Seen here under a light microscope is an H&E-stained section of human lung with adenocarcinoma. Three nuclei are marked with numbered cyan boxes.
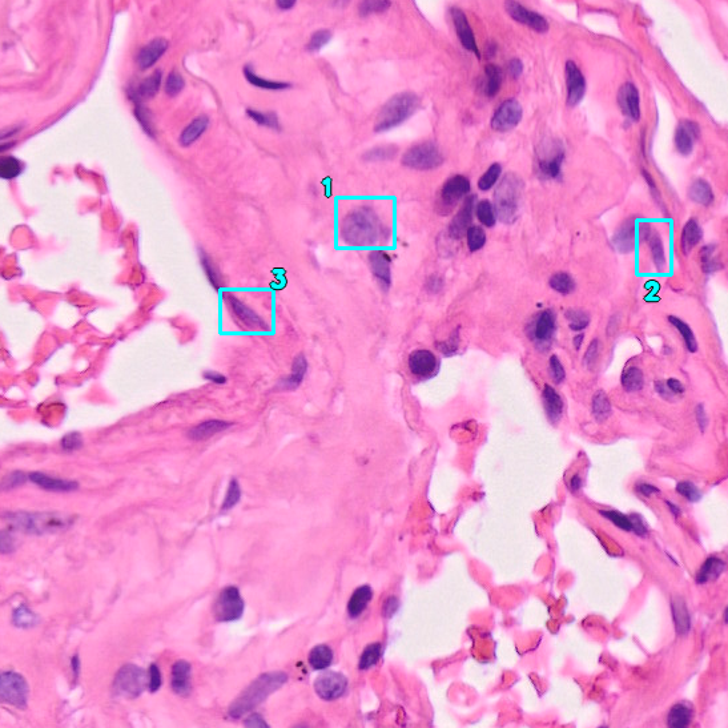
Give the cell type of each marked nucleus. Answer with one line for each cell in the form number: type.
1: fibroblast
2: endothelial cell
3: smooth muscle cell or pericyte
